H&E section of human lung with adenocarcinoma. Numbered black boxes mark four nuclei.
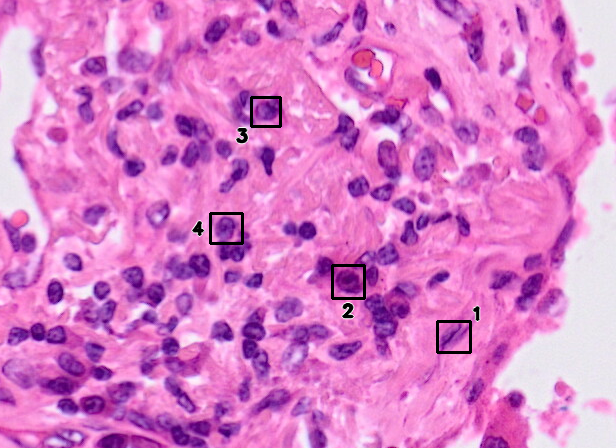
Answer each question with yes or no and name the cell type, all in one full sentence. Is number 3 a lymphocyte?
No, number 3 is not a lymphocyte but a plasma cell.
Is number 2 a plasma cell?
Yes, for number 2, the cell is a plasma cell.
